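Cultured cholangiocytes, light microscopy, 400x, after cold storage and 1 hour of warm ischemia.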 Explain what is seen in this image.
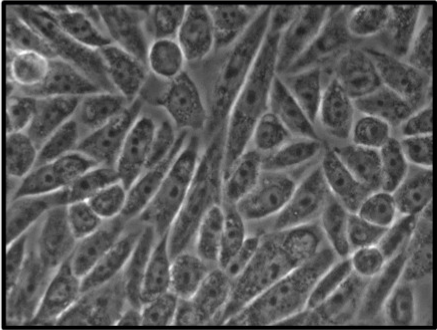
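Most cells are flattened and elongated with tapering ends, each with an oval nucleus holding visible nucleoli. The cells lie densely side by side and cover nearly the whole field. Only an occasional rounded cell remains, and the compact cuboidal clusters are lost.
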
